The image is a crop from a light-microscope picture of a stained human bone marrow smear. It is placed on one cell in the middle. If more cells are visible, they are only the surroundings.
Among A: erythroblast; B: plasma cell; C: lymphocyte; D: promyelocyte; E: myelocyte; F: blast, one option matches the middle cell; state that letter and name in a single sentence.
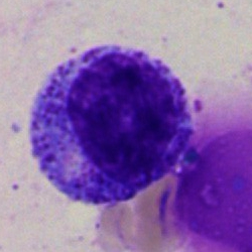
Option E is correct; the cell in the middle is a myelocyte.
